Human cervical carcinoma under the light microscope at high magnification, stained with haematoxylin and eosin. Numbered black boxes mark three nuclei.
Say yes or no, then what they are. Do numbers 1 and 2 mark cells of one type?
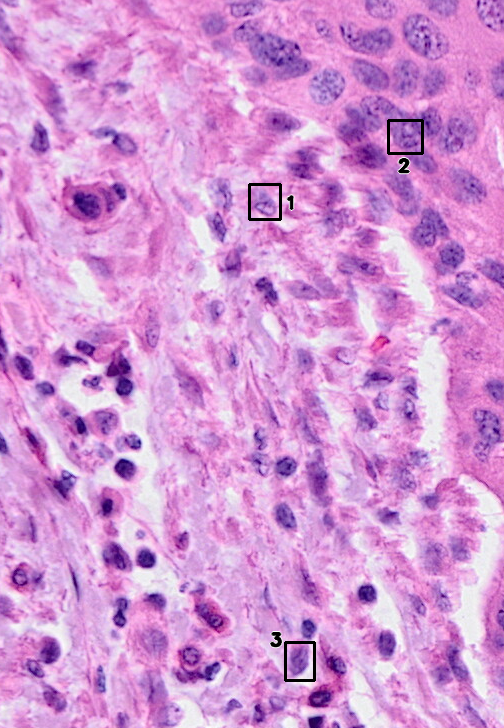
No; cell 1 is a fibroblast, whereas cell 2 is a squamous carcinoma cell.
